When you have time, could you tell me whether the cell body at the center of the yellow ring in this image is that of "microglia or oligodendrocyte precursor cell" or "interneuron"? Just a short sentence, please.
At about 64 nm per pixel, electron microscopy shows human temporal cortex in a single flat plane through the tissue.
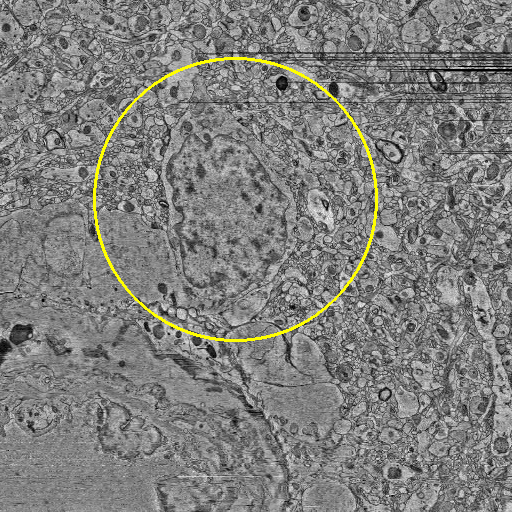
The cell body at the center of the ring is that of an interneuron.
